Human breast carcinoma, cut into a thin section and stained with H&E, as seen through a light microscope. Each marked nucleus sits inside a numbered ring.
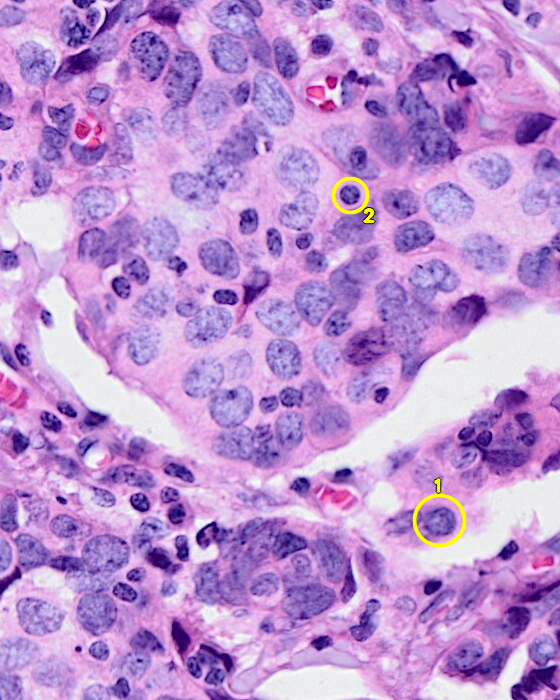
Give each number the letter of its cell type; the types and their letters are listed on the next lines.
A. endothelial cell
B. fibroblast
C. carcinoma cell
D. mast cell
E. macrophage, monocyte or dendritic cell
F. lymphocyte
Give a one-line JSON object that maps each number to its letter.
{"1": "C", "2": "F"}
